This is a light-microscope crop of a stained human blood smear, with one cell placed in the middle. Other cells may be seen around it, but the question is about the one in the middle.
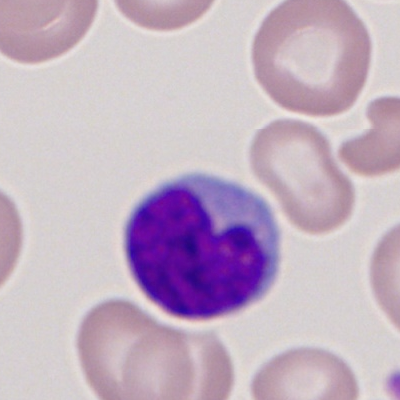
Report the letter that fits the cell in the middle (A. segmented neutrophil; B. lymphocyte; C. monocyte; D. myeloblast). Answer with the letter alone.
B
